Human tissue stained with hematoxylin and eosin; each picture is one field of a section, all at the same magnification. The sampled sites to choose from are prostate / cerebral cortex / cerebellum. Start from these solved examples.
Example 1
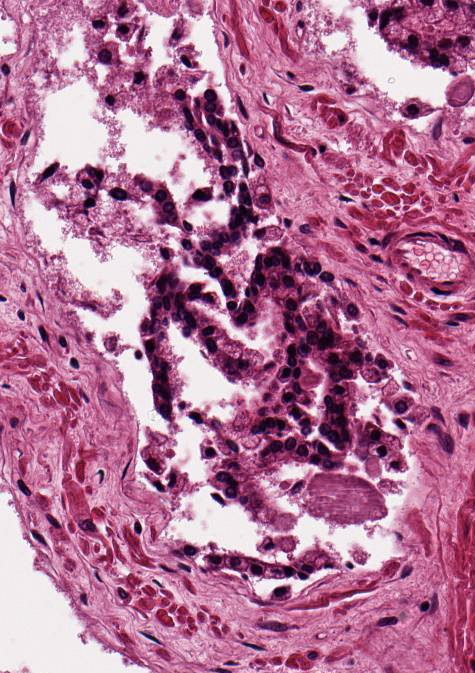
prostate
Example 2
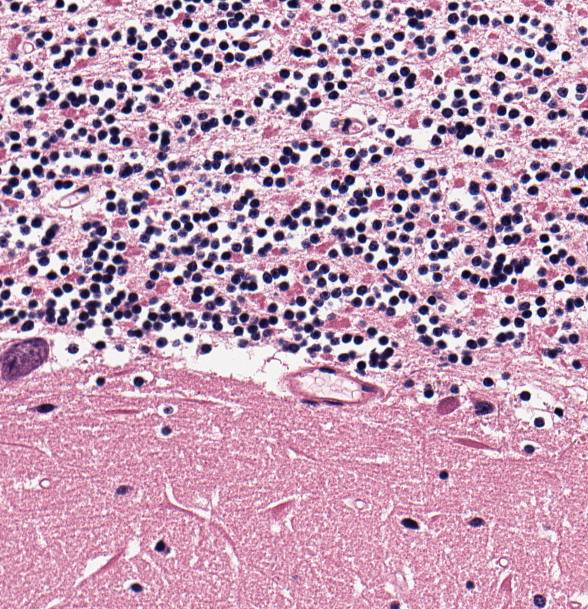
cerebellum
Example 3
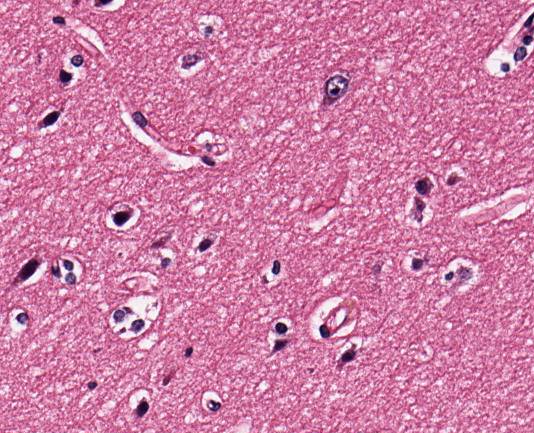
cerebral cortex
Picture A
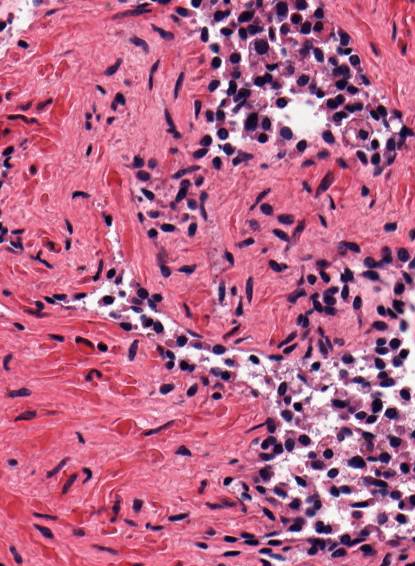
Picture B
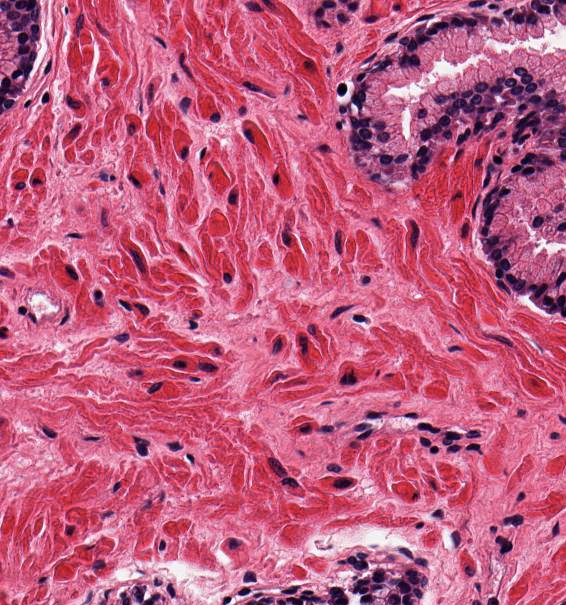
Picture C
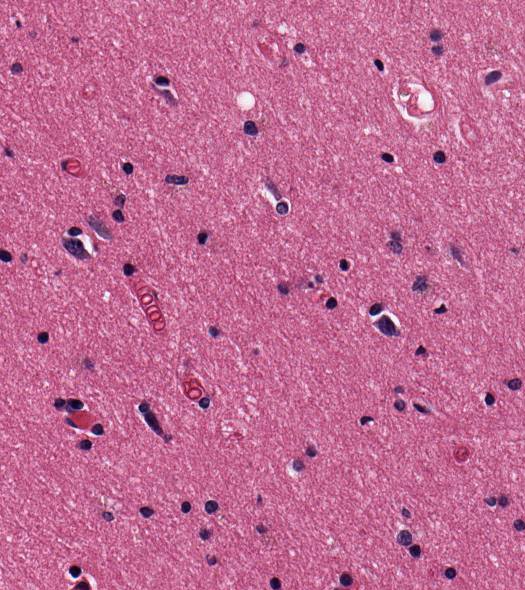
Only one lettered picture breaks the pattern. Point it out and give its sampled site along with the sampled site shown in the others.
Exception: C, showing cerebral cortex. Remaining pictures: prostate.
